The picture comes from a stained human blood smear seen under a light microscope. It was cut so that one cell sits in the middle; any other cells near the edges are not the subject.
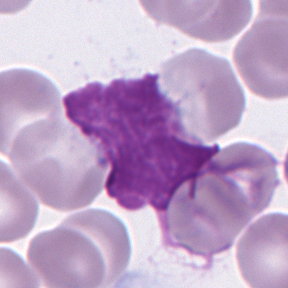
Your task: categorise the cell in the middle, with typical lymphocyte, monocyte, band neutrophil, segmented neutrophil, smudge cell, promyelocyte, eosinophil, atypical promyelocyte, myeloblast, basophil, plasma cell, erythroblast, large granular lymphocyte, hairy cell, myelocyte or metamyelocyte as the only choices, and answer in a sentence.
Whatever else lies nearby, the middle cell is a smudge cell.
